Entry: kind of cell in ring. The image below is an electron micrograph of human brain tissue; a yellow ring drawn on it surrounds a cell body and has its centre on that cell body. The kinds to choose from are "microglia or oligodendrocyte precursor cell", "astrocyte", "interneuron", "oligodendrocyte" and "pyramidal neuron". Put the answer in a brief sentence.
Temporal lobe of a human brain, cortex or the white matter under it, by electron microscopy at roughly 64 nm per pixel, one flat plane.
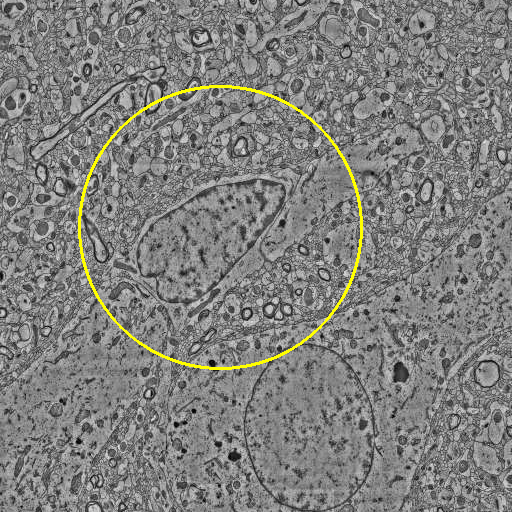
The ring has been drawn around a microglial cell or oligodendrocyte precursor cell.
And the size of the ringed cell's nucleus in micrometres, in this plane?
The ringed cell's nucleus is roughly 9 by 6 micrometres and clearly longer than it is wide in this plane.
